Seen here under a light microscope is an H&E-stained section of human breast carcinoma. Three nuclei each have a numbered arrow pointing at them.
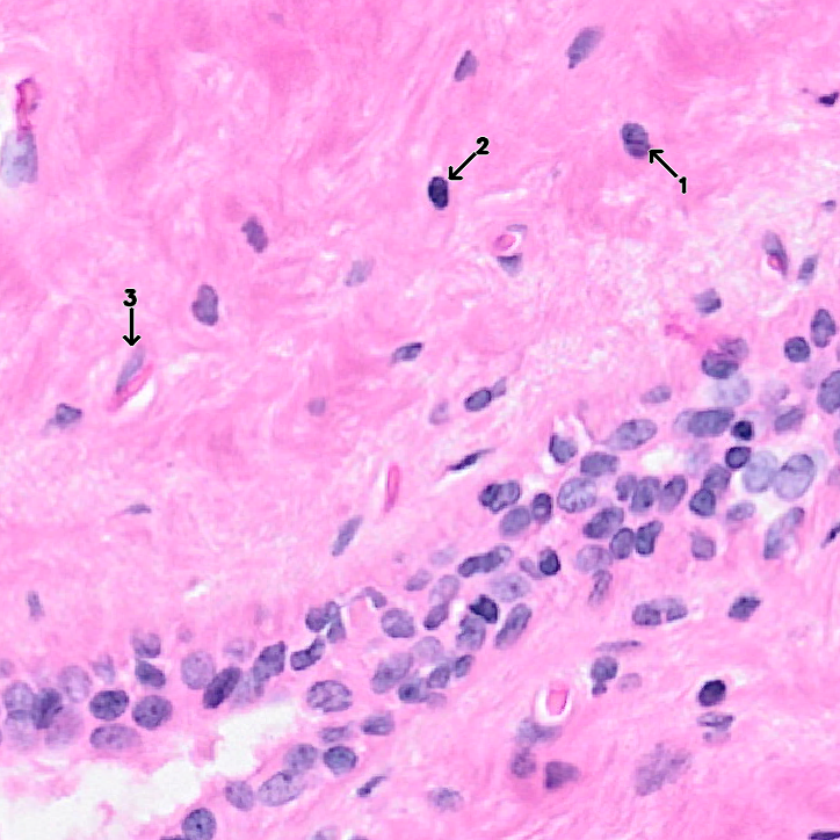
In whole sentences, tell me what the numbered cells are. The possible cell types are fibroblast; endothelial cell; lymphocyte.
Cell 1 is a lymphocyte, cell 2 is a lymphocyte and cell 3 is an endothelial cell.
